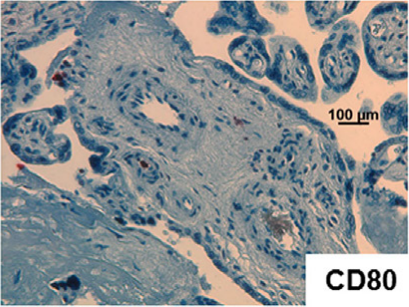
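This is placental tissue with a large villus in the centre and smaller rounded villi cut in cross-section around it. The large villus has a dense, fibrous, blue-grey stroma with spindle-shaped nuclei and an oval vessel lumen ringed by layered cells. The small villi around it are bordered by a thin layer of nuclei and hold small vessels in a loose core. Between the villi lies an open, pale pink space. Only a few scattered small cells carry a red-brown stain, at the villous edges and in the stroma.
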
